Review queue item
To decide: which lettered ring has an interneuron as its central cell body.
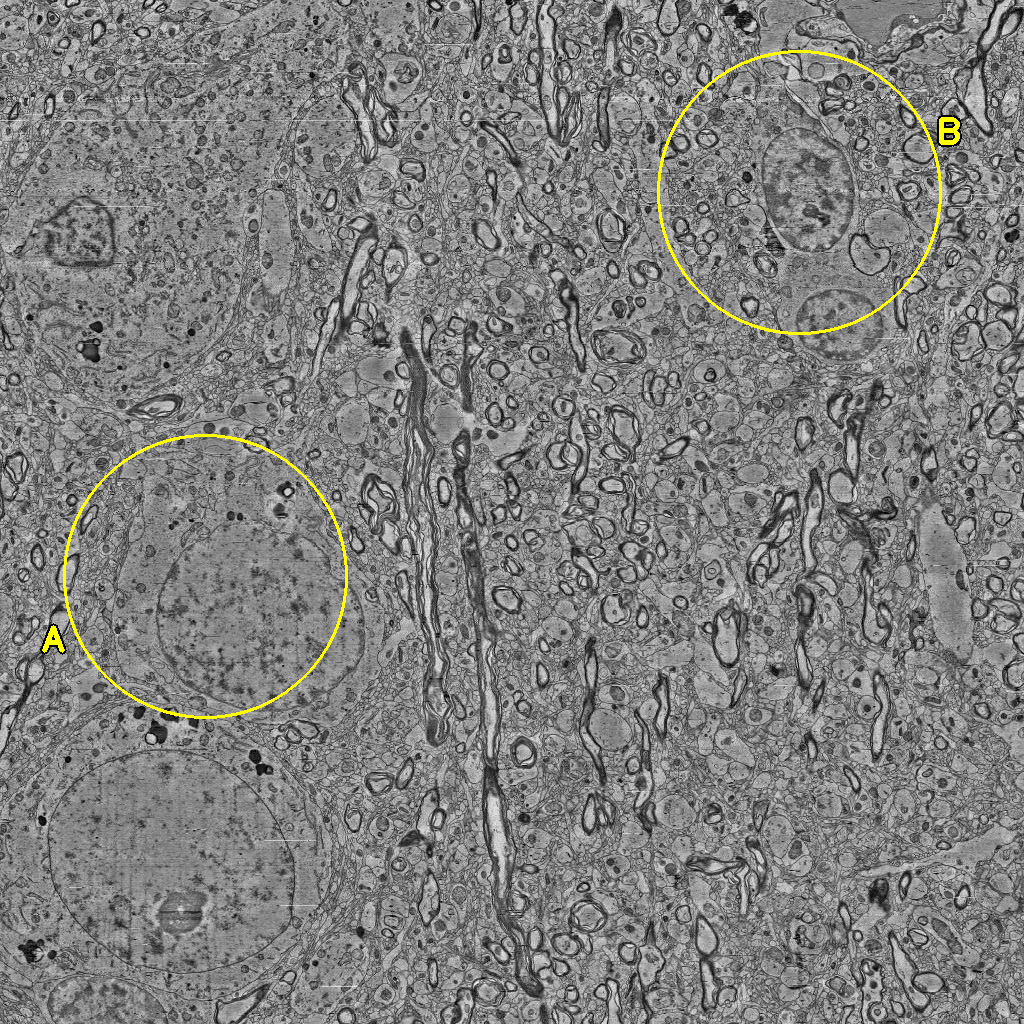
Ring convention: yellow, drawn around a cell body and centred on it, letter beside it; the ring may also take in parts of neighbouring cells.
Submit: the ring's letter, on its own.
A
